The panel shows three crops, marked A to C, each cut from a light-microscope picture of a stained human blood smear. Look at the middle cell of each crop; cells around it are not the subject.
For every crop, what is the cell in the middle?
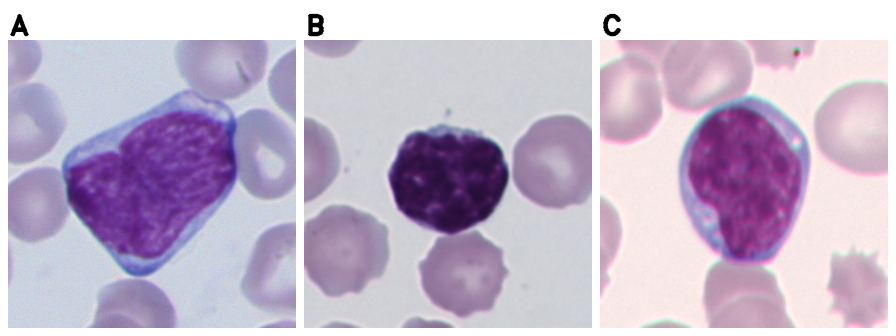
A: myeloblast
B: typical lymphocyte
C: typical lymphocyte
